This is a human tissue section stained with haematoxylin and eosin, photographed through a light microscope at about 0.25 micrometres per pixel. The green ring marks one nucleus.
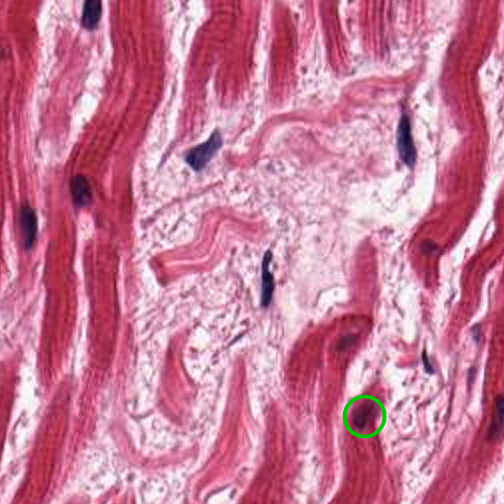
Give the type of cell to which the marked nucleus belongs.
cardiomyocyte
